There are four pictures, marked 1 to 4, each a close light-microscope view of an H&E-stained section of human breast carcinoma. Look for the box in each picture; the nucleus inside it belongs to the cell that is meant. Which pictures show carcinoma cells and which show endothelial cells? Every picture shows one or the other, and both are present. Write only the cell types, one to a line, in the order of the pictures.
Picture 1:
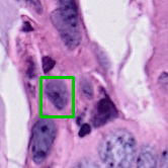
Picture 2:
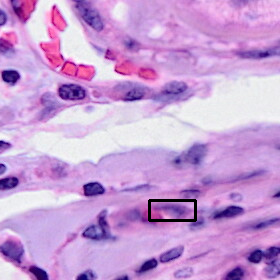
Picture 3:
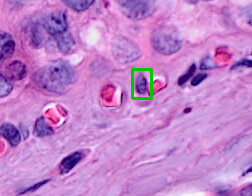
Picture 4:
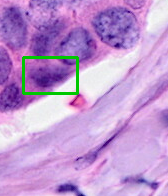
carcinoma cell
endothelial cell
endothelial cell
carcinoma cell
